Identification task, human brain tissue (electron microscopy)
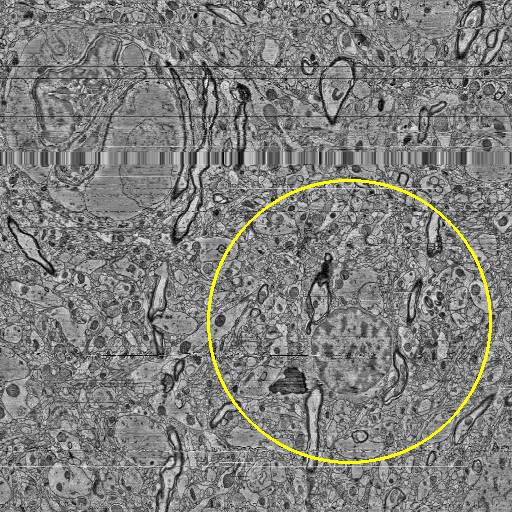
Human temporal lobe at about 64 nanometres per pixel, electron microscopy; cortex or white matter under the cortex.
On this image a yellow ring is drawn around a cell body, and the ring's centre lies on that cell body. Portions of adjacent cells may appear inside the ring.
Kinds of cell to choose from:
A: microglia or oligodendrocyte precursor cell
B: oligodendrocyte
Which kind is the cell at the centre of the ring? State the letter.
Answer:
B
